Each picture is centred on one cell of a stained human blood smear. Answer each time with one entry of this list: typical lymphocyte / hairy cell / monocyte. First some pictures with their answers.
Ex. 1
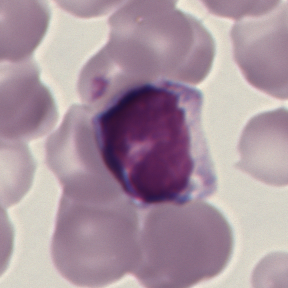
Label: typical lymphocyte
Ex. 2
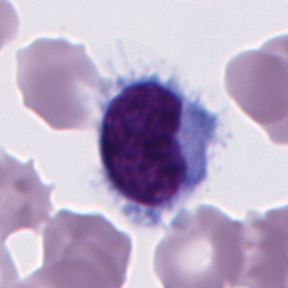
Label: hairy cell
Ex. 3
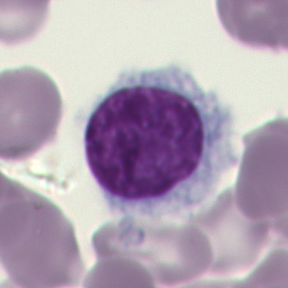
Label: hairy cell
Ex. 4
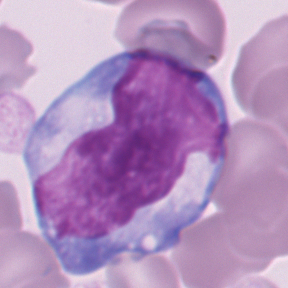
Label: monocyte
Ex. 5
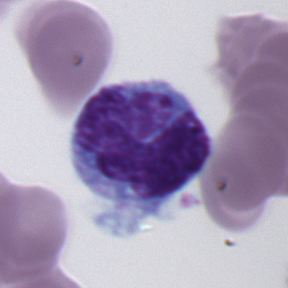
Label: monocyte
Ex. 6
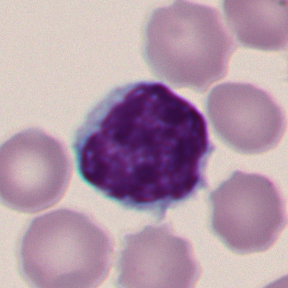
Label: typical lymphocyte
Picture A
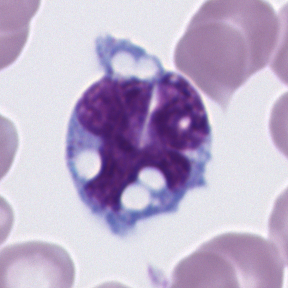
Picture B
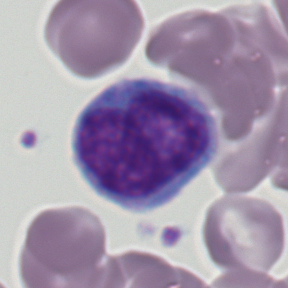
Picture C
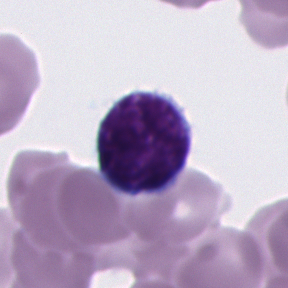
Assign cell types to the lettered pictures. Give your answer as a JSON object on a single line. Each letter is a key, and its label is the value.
{"A": "monocyte", "B": "monocyte", "C": "typical lymphocyte"}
